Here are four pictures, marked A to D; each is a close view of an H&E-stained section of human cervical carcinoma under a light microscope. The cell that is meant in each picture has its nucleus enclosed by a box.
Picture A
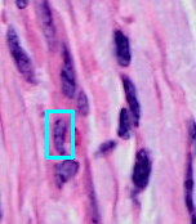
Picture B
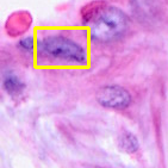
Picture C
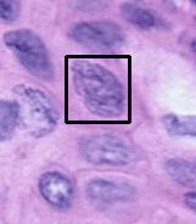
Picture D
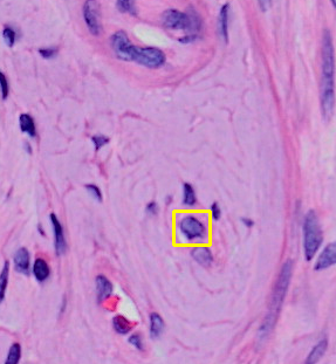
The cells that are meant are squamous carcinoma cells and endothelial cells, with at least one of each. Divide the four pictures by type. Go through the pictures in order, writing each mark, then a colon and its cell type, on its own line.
A: endothelial cell
B: endothelial cell
C: squamous carcinoma cell
D: endothelial cell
